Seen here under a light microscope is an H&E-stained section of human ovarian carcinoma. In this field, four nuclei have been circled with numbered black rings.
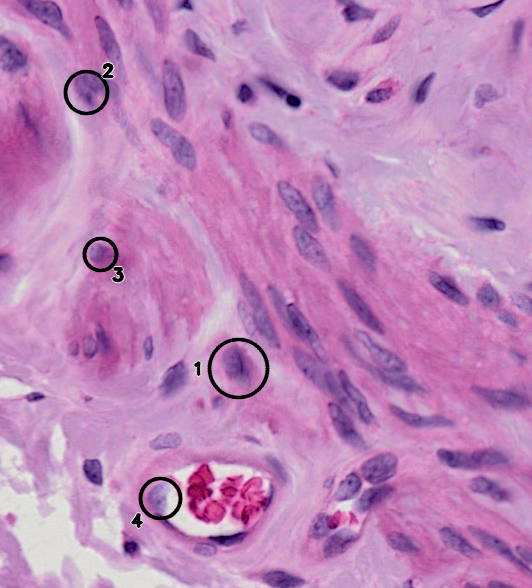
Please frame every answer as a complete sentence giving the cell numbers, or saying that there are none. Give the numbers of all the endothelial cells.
Response: cell 4 is an endothelial cell, and no other numbered cell is.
